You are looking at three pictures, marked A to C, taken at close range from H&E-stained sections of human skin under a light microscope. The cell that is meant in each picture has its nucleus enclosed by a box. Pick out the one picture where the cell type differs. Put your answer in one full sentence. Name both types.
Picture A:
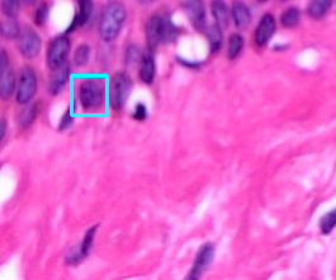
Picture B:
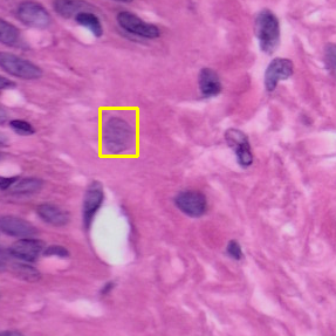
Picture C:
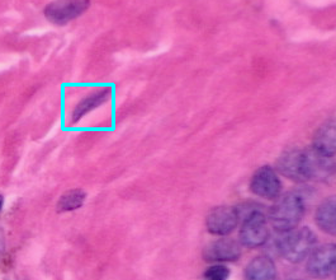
Unlike the rest, which show fibroblasts, picture A shows a basal keratinocyte.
